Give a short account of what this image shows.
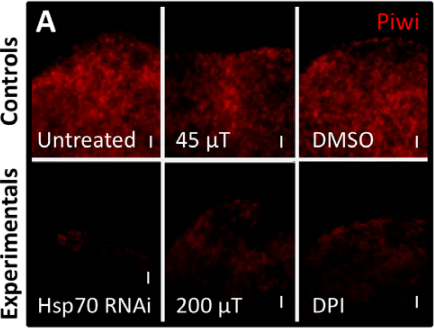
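In the upper row the red signal is dense and speckled, filling most of the tissue and fading toward its rim. In the lower row the red signal is much fainter and sparser, and in one image almost absent. Single cells are hard to make out at this scale; the signal appears as a mottled granular texture rather than as separate cells.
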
